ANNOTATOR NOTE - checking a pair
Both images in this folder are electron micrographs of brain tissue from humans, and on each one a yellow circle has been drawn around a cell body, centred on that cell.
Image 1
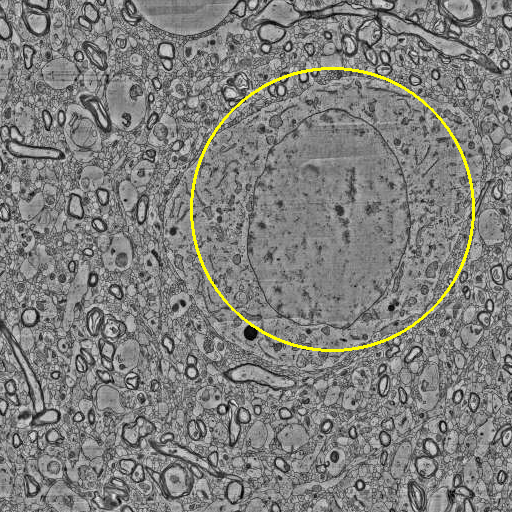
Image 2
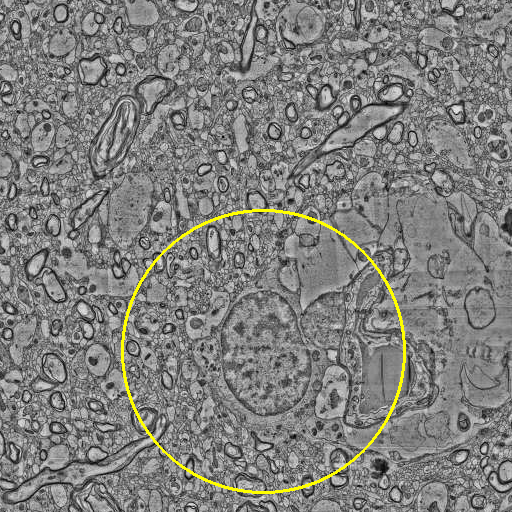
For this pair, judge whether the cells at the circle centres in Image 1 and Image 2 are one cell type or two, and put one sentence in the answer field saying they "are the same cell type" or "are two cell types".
For this pair, the cells at the circle centres in Images 1 and 2 are two cell types.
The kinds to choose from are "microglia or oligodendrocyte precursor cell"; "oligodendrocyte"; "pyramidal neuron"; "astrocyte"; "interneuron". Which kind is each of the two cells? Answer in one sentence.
Of the two, the first cell is a pyramidal neuron and the second cell is an oligodendrocyte.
